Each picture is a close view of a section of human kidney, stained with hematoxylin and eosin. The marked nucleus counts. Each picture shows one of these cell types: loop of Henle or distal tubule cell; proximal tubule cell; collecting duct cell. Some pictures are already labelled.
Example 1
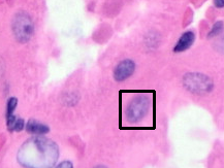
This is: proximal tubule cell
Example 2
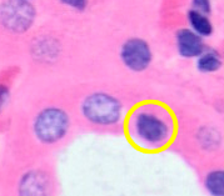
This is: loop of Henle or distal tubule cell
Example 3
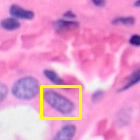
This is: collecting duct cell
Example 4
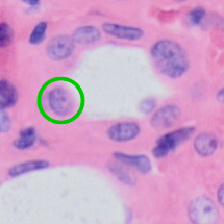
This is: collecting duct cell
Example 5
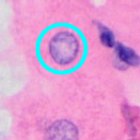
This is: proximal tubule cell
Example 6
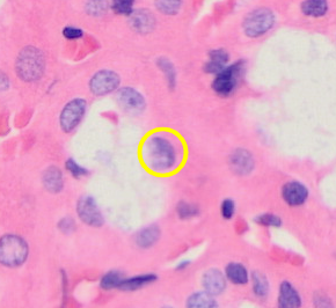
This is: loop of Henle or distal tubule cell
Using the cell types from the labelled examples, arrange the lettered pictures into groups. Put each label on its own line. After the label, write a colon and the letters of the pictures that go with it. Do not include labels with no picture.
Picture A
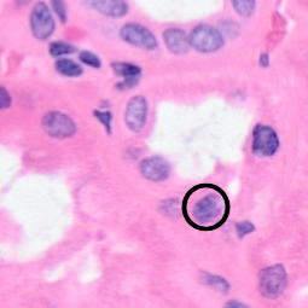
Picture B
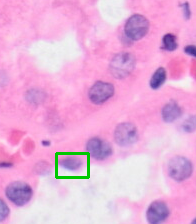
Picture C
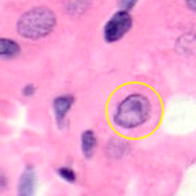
loop of Henle or distal tubule cell: A, B
proximal tubule cell: C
